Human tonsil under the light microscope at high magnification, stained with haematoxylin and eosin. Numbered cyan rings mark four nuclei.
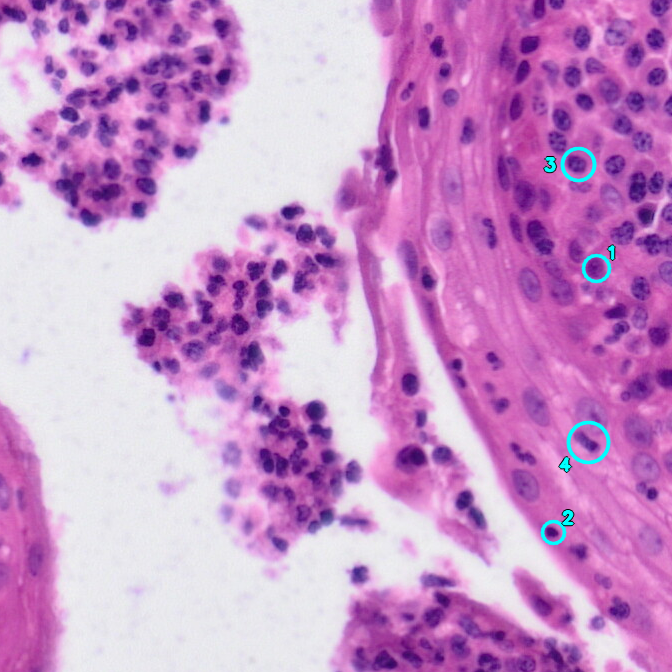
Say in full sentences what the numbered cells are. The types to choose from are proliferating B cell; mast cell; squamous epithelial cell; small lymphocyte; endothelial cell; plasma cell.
Cell 1 is a squamous epithelial cell, cell 2 is a squamous epithelial cell, cell 3 is a plasma cell and cell 4 is a squamous epithelial cell.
